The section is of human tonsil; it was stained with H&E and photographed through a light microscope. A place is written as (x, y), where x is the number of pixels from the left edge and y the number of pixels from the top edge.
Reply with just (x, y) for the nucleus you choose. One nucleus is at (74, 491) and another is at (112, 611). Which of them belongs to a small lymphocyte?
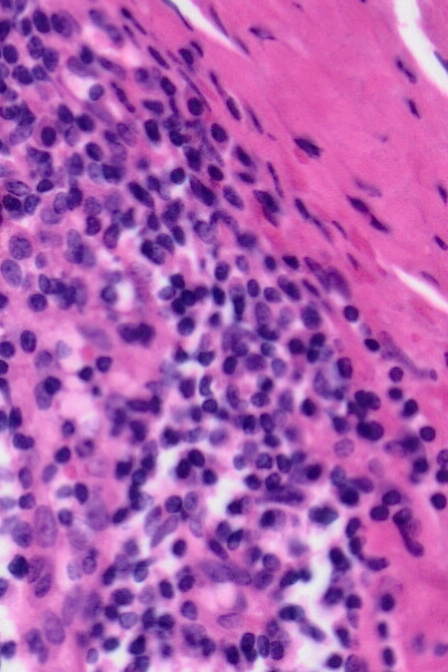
(112, 611)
